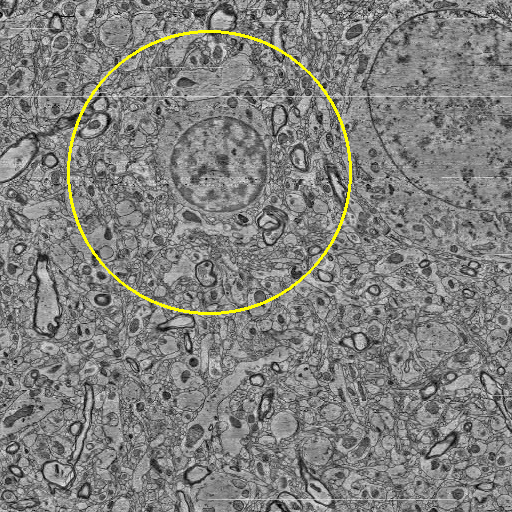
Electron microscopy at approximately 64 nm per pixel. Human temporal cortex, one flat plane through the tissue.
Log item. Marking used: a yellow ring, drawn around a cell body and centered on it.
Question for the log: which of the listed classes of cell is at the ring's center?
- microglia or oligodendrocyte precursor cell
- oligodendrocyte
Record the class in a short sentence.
At the center of the ring lies an oligodendrocyte.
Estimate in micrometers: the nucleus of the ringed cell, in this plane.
The ringed cell's nucleus is about 6 micrometres across in this plane.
